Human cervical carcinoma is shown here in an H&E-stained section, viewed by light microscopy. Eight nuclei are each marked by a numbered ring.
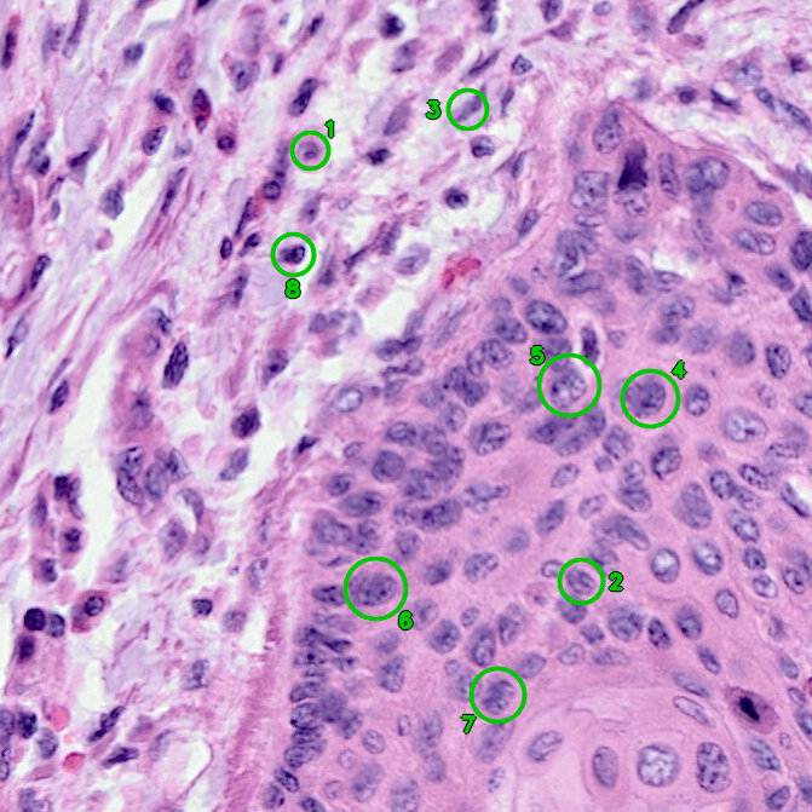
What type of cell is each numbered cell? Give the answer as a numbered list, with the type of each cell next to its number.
1. macrophage or monocyte
2. squamous carcinoma cell
3. fibroblast
4. squamous carcinoma cell
5. squamous carcinoma cell
6. squamous carcinoma cell
7. squamous carcinoma cell
8. lymphocyte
